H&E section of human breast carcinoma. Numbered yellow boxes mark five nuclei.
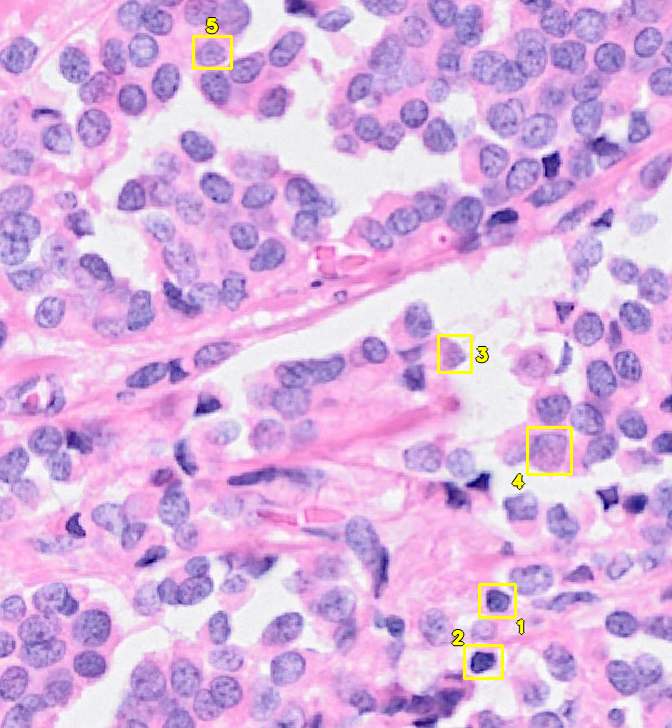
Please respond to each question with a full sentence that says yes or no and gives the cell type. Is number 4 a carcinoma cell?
Yes, the cell tagged with number 4 is a carcinoma cell.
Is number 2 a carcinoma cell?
No, number 2 identifies a lymphocyte, not a carcinoma cell.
